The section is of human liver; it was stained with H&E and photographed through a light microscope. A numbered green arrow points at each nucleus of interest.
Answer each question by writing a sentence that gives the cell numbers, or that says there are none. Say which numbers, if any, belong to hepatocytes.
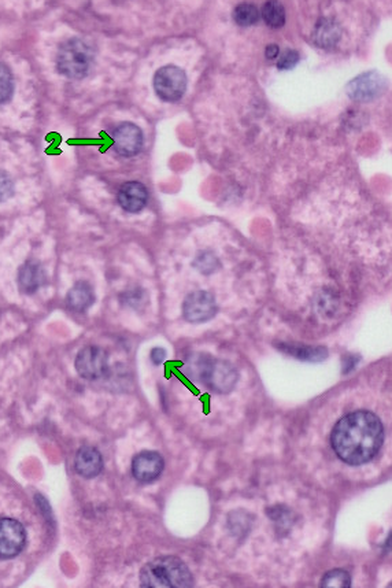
The one cell that is a hepatocyte is cell 2, and no other.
